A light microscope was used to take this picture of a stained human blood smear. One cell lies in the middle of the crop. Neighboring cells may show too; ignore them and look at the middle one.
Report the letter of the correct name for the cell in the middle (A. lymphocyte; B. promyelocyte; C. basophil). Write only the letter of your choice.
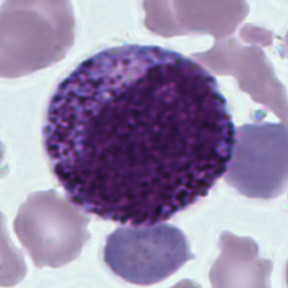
B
